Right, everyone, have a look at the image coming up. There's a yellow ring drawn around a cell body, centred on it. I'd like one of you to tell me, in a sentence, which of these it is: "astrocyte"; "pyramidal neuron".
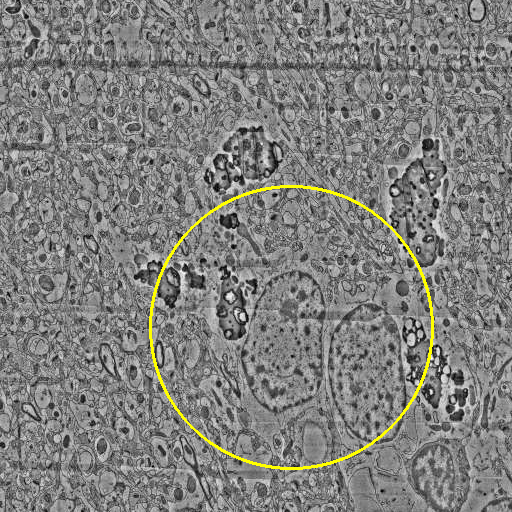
The yellow ring sits on an astrocyte.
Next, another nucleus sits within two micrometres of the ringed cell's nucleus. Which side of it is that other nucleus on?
The other nucleus can be seen to the right of it.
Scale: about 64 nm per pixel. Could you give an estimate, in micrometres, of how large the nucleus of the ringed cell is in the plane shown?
In this plane, about 9 by 6 micrometres: the nucleus is clearly longer than it is wide.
